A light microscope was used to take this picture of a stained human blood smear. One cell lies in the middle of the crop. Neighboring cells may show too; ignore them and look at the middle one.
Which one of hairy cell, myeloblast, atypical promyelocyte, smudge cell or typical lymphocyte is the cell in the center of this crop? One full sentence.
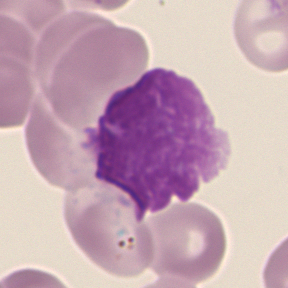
This crop is built around a smudge cell at its centre.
